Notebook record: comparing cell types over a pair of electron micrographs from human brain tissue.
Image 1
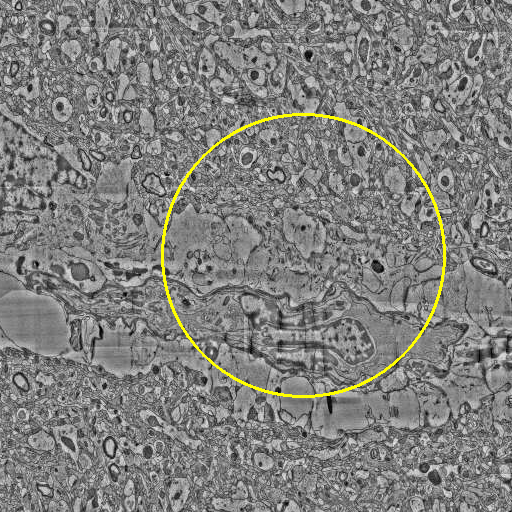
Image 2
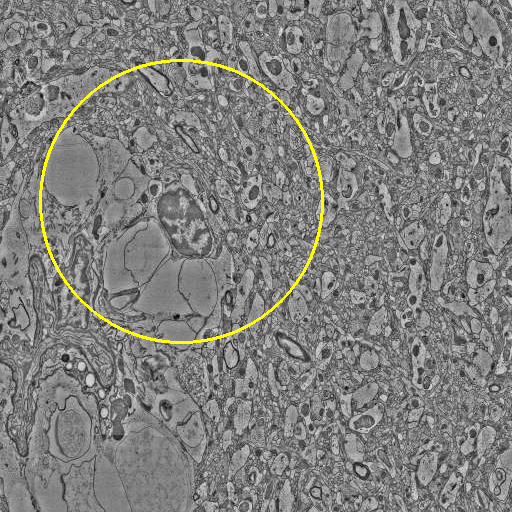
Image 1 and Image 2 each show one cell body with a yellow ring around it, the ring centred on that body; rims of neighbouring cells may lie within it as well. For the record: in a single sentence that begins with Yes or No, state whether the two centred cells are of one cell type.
Yes, one cell type is shared by the centred cells of Image 1 and Image 2.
